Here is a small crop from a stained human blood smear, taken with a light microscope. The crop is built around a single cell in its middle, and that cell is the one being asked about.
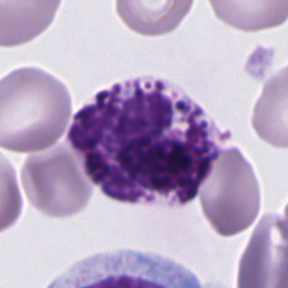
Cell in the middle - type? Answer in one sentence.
In the center of this field lies a basophil.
